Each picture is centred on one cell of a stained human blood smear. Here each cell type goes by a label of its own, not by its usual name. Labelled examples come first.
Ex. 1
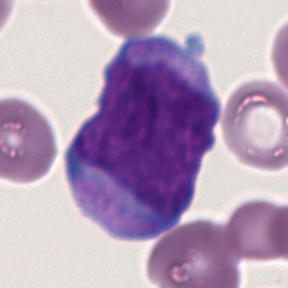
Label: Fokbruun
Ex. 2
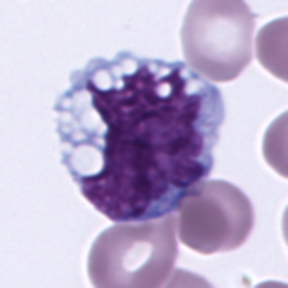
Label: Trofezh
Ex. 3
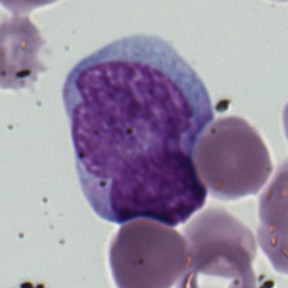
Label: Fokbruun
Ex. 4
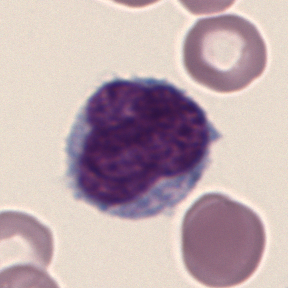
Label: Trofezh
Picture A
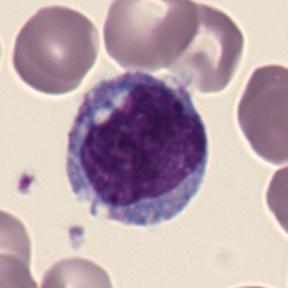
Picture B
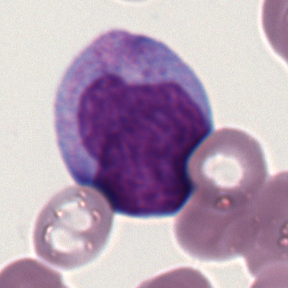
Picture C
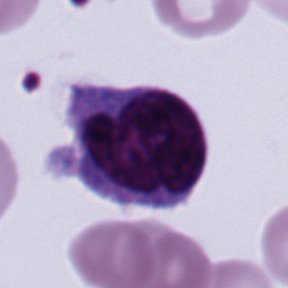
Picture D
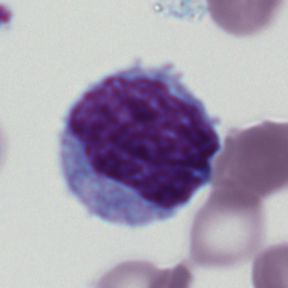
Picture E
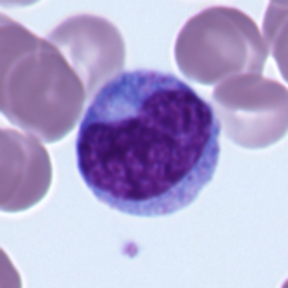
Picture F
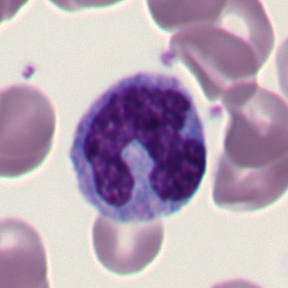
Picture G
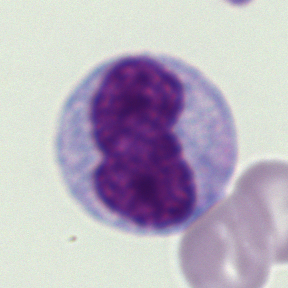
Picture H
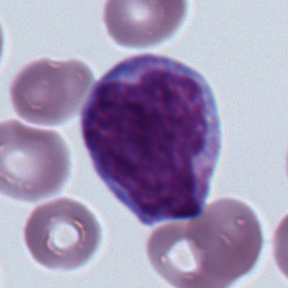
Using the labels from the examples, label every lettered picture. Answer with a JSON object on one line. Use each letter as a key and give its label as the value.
{"A": "Trofezh", "B": "Fokbruun", "C": "Trofezh", "D": "Trofezh", "E": "Trofezh", "F": "Trofezh", "G": "Trofezh", "H": "Fokbruun"}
